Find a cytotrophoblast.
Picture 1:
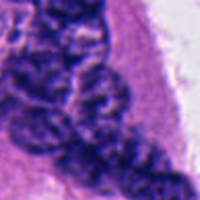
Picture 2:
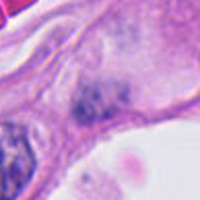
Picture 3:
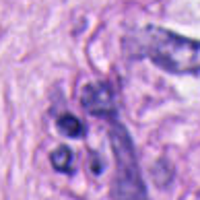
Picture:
2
